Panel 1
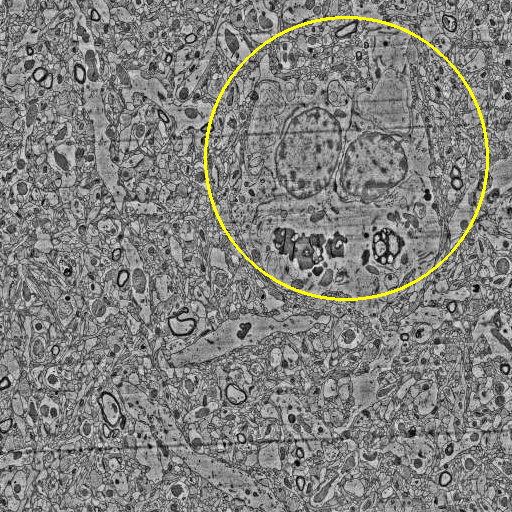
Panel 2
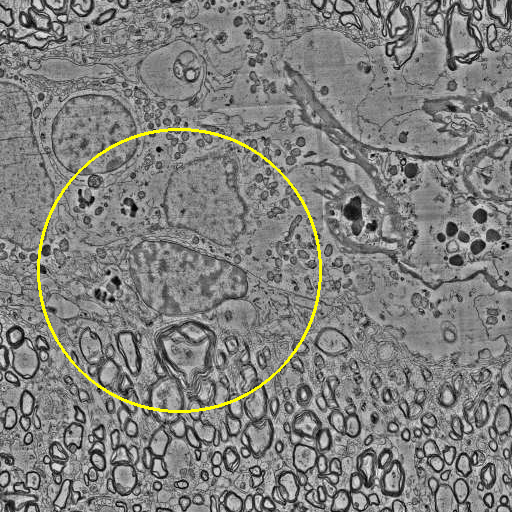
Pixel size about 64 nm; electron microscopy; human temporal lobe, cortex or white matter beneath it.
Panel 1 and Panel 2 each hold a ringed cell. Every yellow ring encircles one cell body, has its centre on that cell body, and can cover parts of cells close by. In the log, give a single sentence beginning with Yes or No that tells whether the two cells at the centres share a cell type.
Yes, in Panel 1 and Panel 2 the centred cells share a cell type.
